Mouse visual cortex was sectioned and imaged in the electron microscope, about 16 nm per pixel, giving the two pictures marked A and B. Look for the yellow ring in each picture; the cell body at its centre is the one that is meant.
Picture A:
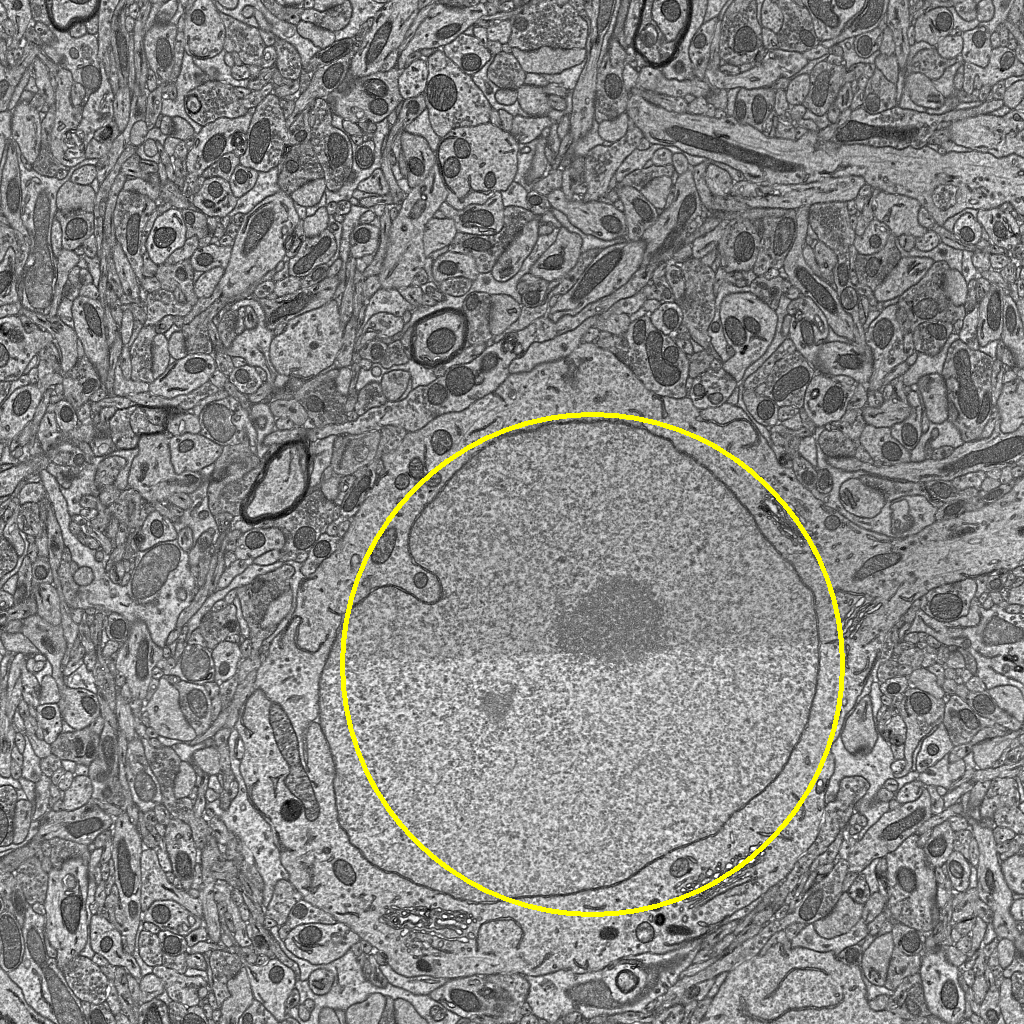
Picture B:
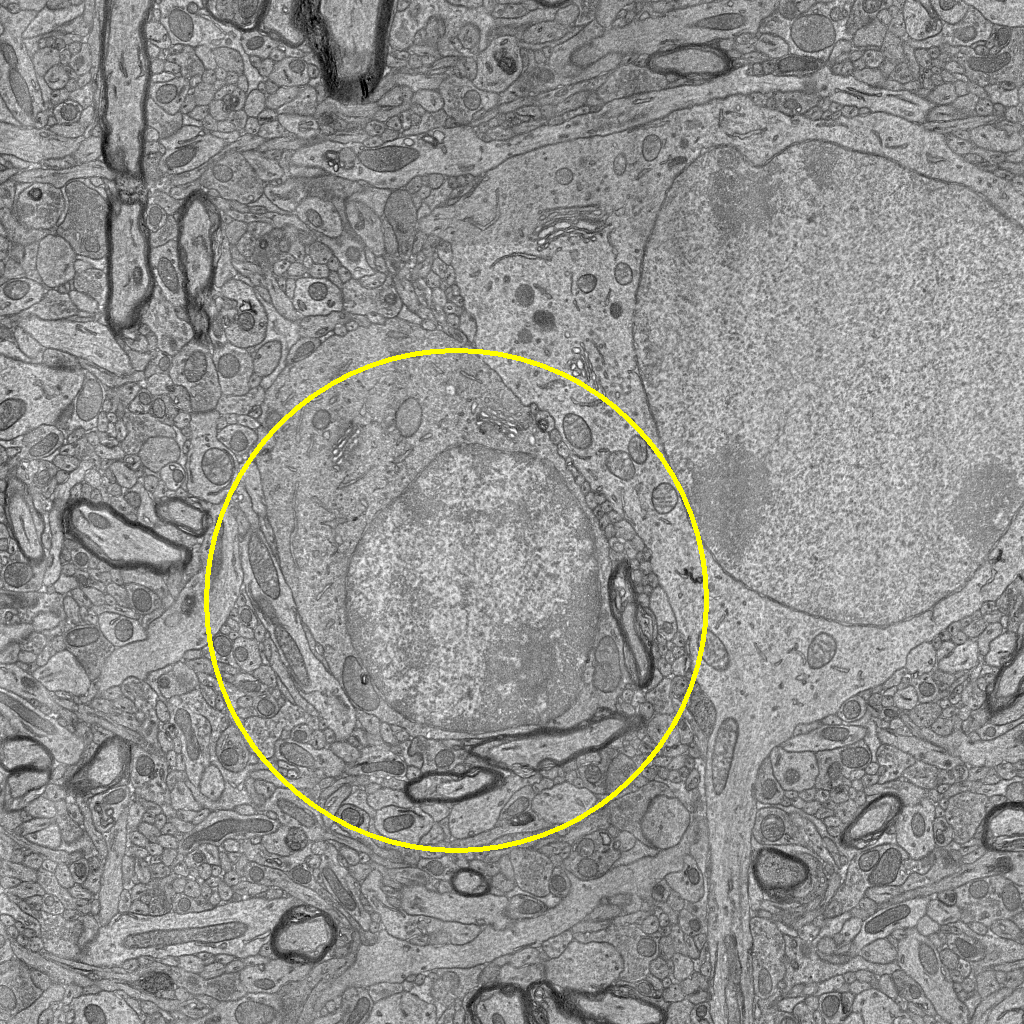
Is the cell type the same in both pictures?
No. Picture A shows an excitatory neuron, but picture B shows an oligodendrocyte.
